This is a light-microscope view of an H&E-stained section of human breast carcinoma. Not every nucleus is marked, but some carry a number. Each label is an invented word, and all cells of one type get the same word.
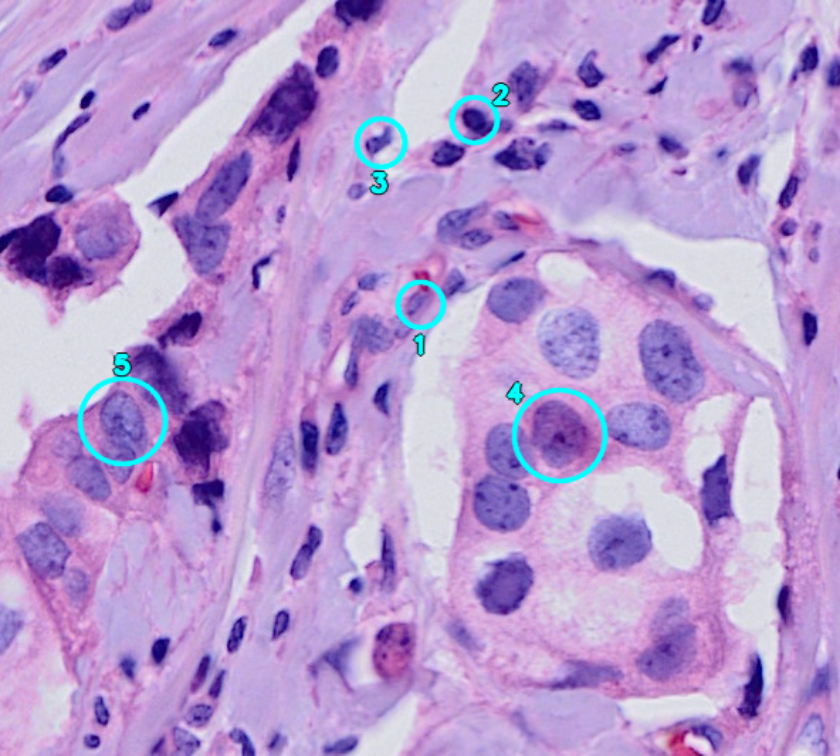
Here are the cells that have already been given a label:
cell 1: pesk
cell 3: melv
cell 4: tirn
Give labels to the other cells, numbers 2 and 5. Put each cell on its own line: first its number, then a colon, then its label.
2: melv
5: tirn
